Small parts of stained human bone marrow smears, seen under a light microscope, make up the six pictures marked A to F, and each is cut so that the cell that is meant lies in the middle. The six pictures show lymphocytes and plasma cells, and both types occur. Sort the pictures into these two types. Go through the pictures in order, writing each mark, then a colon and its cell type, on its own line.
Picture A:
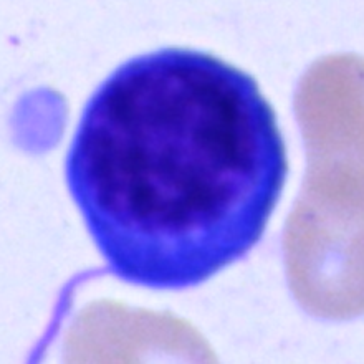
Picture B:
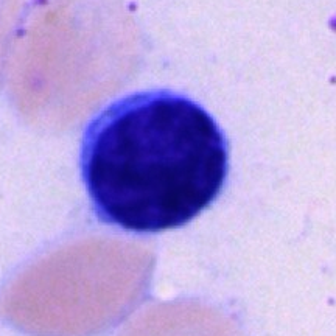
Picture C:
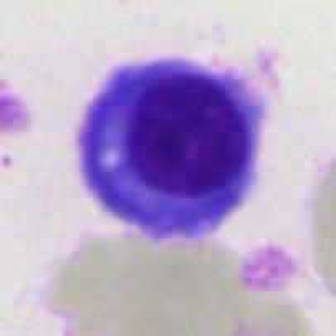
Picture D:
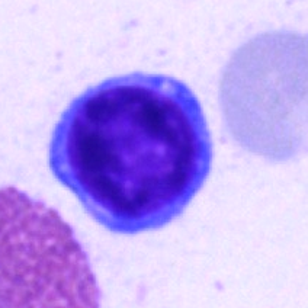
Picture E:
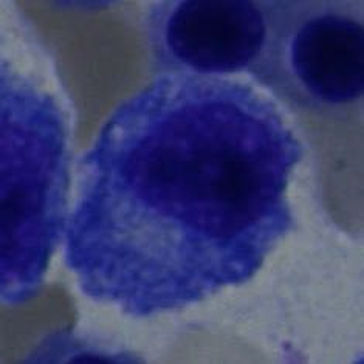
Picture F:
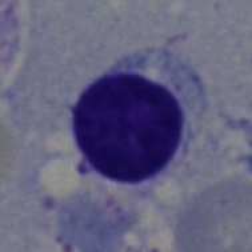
A: plasma cell
B: lymphocyte
C: plasma cell
D: lymphocyte
E: plasma cell
F: lymphocyte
